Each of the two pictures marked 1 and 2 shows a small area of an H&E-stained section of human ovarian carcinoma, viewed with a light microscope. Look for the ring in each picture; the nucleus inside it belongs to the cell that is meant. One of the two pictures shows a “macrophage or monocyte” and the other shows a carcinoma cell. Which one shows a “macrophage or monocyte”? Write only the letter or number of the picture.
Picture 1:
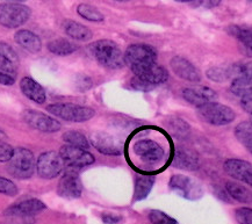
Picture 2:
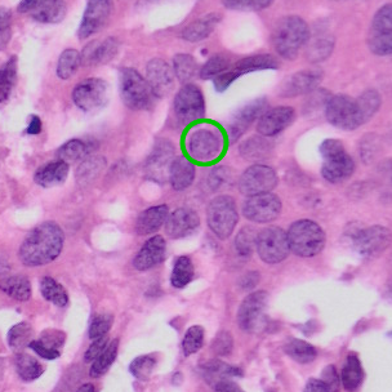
1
